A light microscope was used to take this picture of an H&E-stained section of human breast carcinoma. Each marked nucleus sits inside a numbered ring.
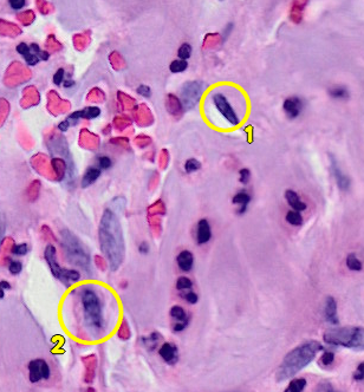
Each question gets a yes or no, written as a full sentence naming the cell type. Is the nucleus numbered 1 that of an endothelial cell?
No. Cell number 1 is a fibroblast, not an endothelial cell.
